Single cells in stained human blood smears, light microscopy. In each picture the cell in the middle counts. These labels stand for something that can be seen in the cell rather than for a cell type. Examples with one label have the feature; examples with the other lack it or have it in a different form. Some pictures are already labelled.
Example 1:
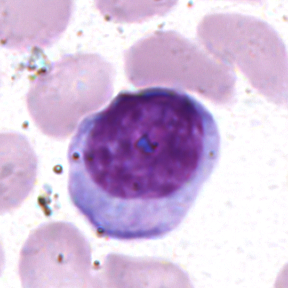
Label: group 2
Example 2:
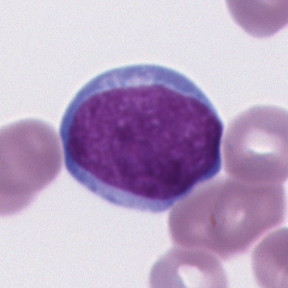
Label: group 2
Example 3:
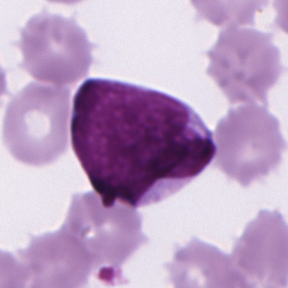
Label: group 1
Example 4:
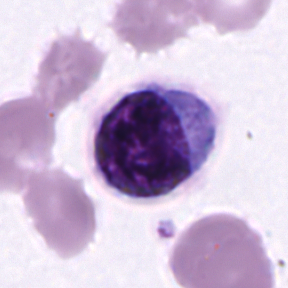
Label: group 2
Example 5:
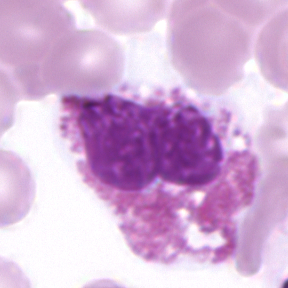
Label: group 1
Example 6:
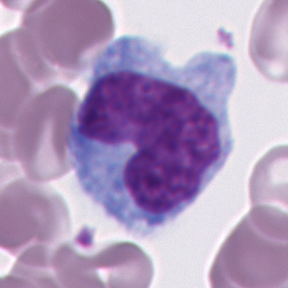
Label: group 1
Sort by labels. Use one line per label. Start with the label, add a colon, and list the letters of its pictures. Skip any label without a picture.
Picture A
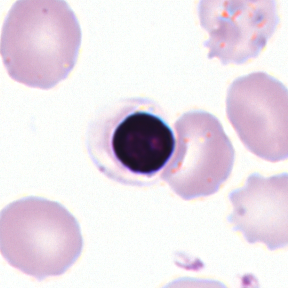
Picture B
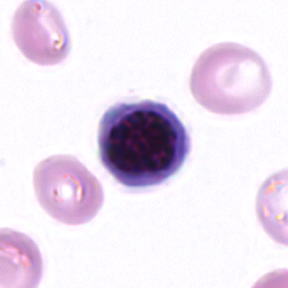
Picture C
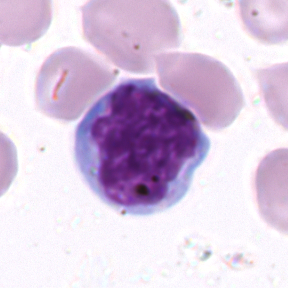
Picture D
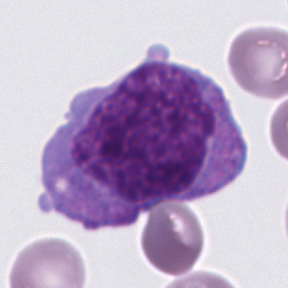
group 2: A, B, C
group 1: D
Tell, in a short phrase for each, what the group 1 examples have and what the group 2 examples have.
group 1: ragged outline or projections; group 2: smooth outline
